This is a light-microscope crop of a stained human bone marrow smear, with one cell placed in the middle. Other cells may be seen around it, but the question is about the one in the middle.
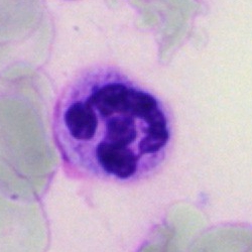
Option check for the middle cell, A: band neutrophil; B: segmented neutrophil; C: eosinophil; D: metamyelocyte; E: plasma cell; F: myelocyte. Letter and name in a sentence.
Option B holds, for the cell in the middle is a segmented neutrophil.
